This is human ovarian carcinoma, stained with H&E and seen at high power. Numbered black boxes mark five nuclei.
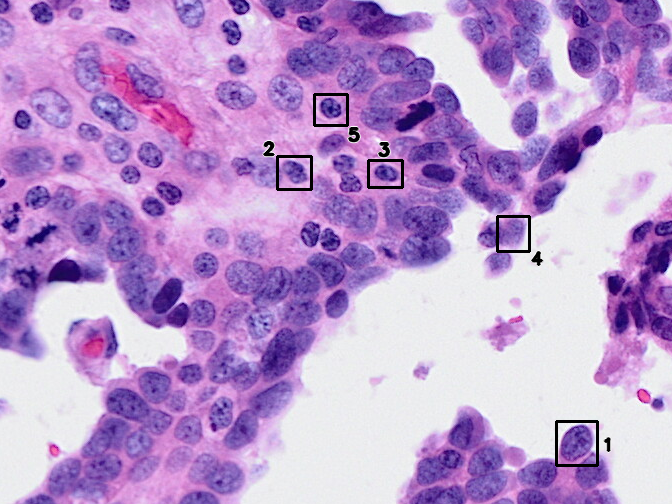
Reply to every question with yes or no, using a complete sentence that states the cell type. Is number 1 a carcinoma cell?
Yes, the cell carrying number 1 is a carcinoma cell.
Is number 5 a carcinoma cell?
No, a lymphocyte is what cell 5 is, not a carcinoma cell.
